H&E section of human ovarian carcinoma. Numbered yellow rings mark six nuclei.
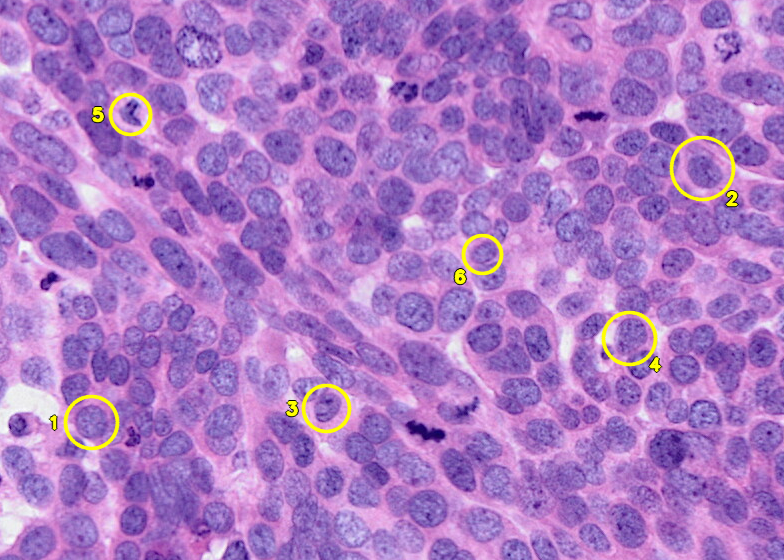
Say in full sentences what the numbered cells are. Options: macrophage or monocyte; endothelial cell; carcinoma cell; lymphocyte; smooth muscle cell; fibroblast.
Cell 1 is a carcinoma cell, cell 2 is a carcinoma cell, cell 3 is a macrophage or monocyte, cell 4 is a carcinoma cell, cell 5 is a macrophage or monocyte and cell 6 is a carcinoma cell.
